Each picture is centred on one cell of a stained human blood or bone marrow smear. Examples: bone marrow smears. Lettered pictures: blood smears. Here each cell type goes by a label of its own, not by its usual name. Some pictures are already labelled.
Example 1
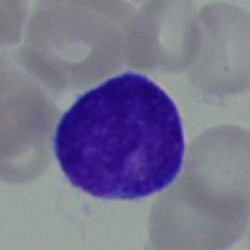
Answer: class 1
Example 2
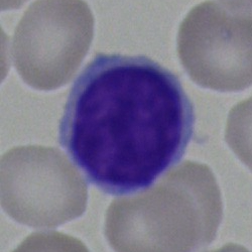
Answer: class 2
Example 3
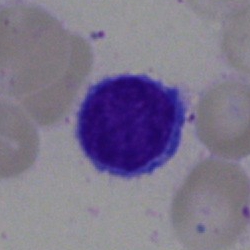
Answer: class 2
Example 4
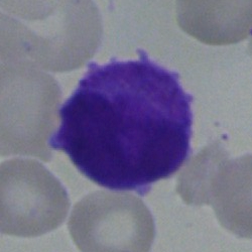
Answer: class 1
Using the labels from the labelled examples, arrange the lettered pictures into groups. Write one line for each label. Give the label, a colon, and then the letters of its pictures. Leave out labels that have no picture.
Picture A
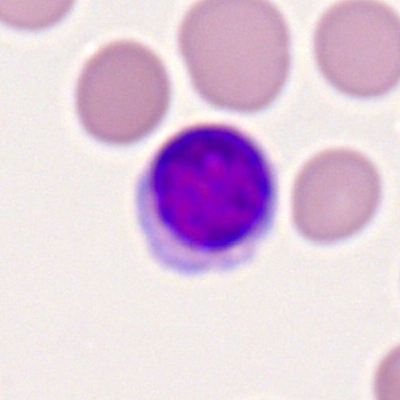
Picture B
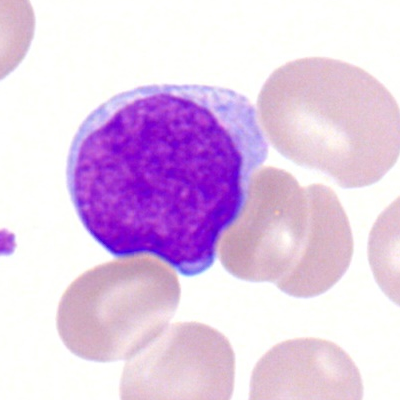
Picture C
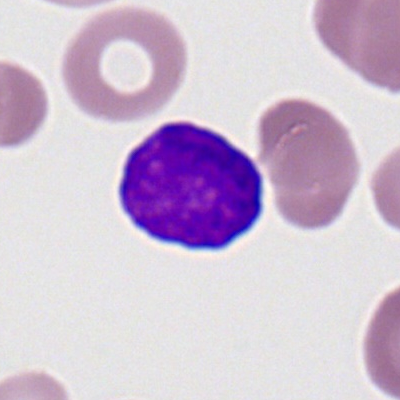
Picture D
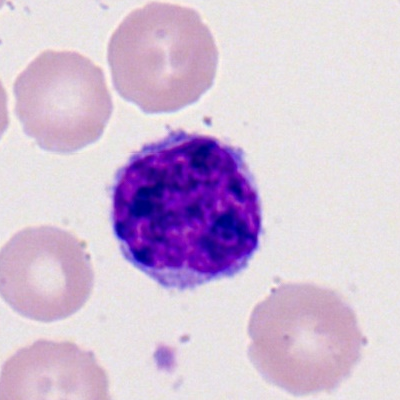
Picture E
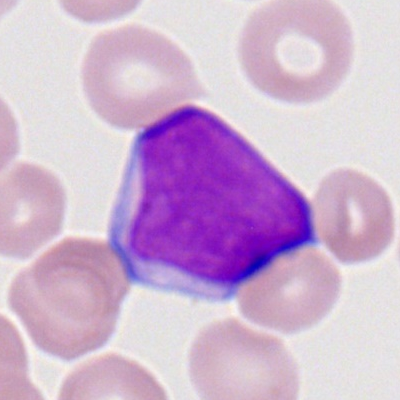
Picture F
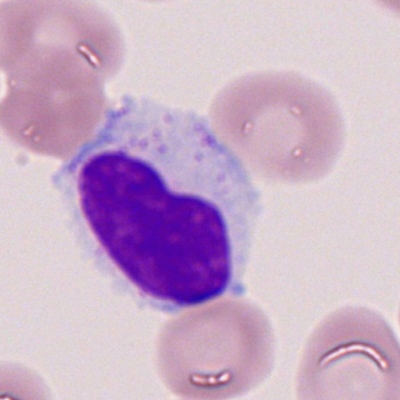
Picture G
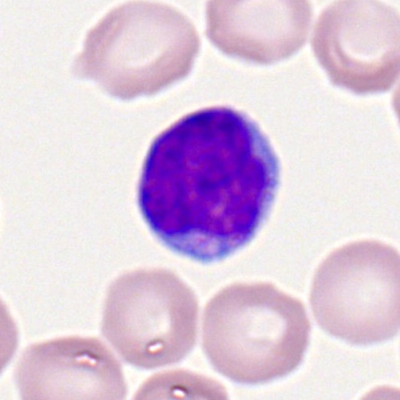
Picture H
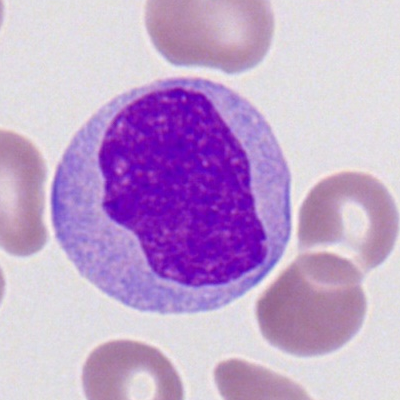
class 1: B, E, H
class 2: A, C, D, F, G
